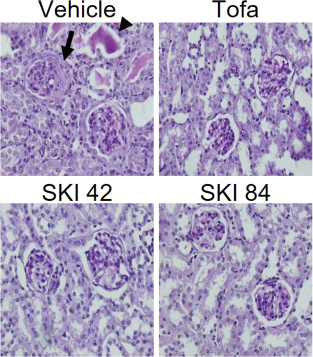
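Four fields of kidney cortex, each with round glomeruli set among cross-cut tubules lined by cuboidal epithelium with pale pink-purple cytoplasm and dark blue nuclei. In the top-left field the glomeruli look crowded with nuclei and large, one with cells piling up at its rim, and a nearby tubule lumen is filled with smooth magenta, cell-free material, a protein cast.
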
